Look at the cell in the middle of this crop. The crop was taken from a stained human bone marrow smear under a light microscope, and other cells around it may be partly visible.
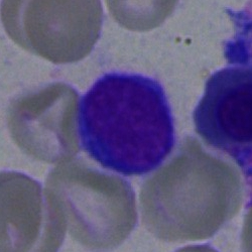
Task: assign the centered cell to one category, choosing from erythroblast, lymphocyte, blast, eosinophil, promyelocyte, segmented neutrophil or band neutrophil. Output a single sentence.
The central element of this crop is a cell, namely a lymphocyte.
